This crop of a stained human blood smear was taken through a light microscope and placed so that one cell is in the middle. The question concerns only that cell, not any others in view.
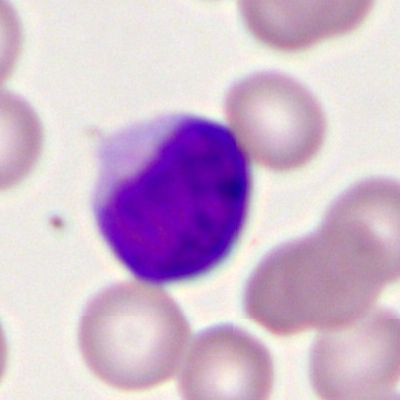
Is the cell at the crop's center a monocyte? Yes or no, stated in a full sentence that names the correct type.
No, the label for the central cell is a myeloblast, not a monocyte.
